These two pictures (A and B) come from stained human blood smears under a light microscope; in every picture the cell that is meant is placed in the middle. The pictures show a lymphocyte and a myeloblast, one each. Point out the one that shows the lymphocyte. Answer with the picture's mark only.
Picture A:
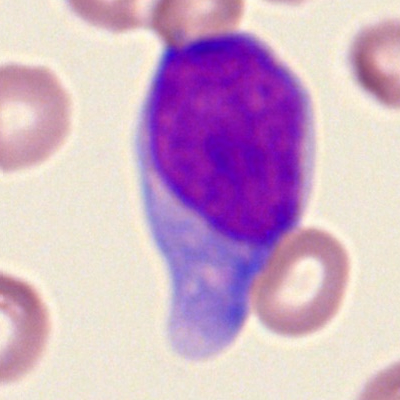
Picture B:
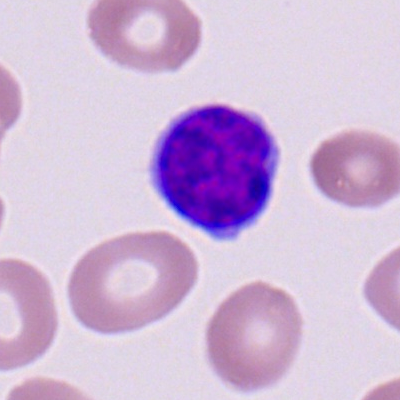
B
